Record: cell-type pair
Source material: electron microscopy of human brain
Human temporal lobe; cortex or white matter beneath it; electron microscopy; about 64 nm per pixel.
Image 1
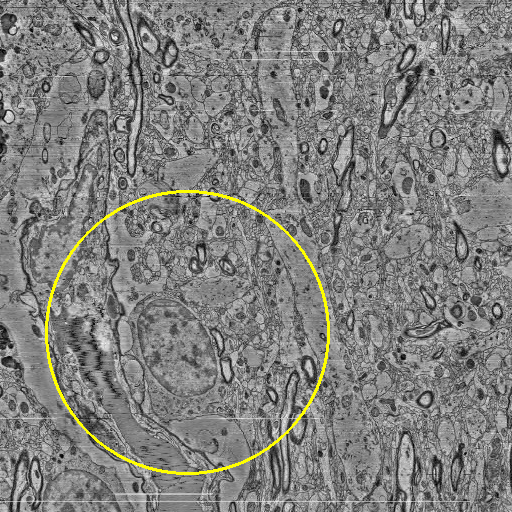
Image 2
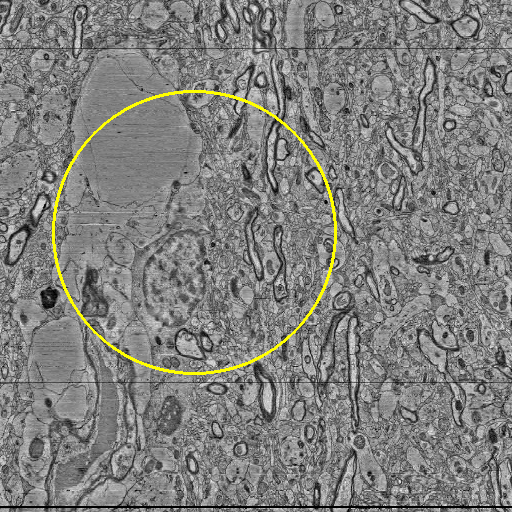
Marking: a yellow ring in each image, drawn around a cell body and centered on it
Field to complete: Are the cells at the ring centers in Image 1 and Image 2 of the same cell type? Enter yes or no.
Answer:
yes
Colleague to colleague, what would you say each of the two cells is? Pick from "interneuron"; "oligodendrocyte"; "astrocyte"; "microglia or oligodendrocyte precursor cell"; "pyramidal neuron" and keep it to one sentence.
Each cell, in the first picture and the second, is an oligodendrocyte.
